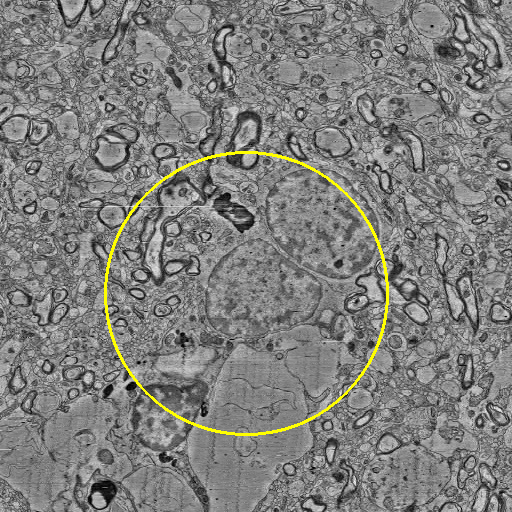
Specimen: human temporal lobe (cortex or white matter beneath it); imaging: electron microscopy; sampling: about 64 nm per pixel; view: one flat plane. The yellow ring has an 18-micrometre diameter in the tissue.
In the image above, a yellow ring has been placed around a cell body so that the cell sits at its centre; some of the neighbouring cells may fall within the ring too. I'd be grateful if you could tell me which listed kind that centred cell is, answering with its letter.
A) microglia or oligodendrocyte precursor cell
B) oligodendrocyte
B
